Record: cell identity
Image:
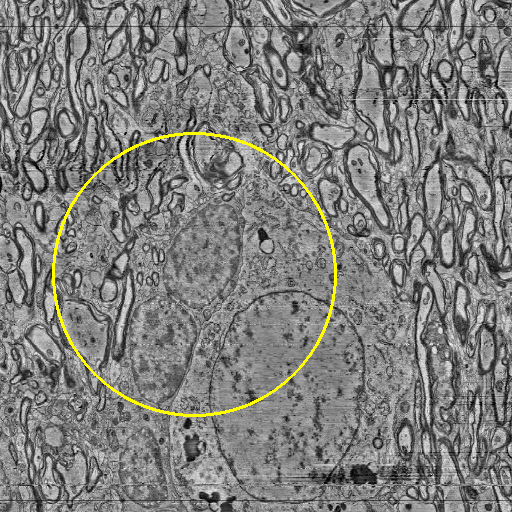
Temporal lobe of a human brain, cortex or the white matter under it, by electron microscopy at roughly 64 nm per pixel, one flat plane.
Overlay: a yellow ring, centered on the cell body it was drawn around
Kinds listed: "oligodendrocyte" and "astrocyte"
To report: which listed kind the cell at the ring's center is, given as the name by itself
oligodendrocyte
